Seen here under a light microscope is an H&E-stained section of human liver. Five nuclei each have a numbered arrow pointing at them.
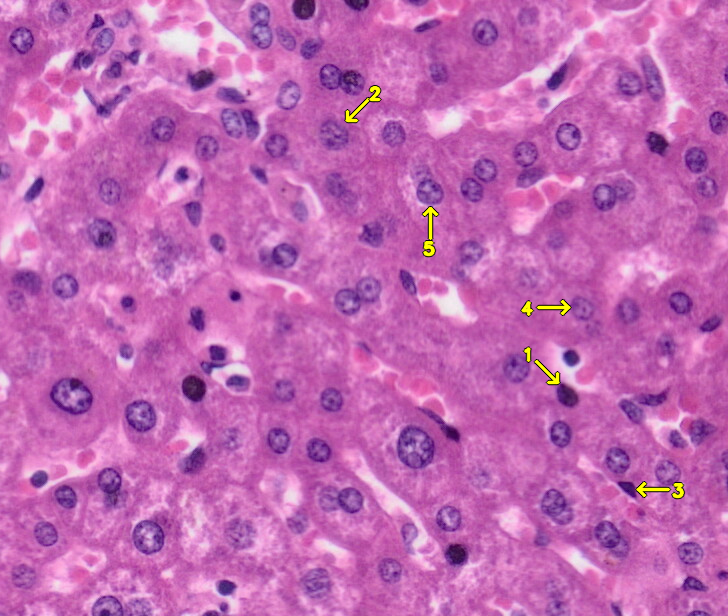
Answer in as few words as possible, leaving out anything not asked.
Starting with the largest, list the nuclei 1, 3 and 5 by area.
5, 1, 3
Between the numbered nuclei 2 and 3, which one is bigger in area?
2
